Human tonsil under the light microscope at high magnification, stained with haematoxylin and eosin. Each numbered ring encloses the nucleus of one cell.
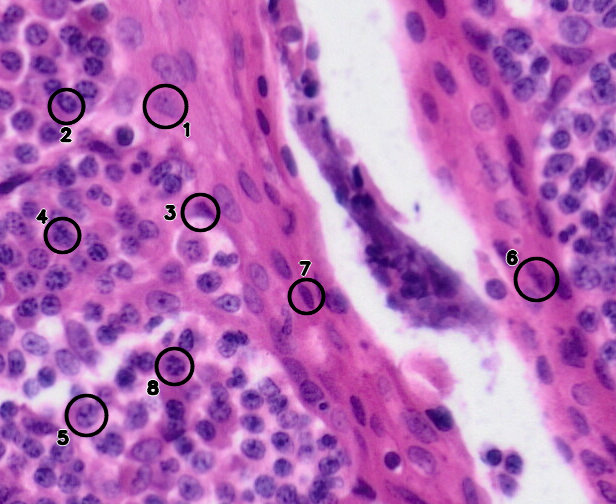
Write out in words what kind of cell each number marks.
Cells 1, 3, 6 and 7 are squamous epithelial cells. Cells 2, 4, 5 and 8 are plasma cells.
